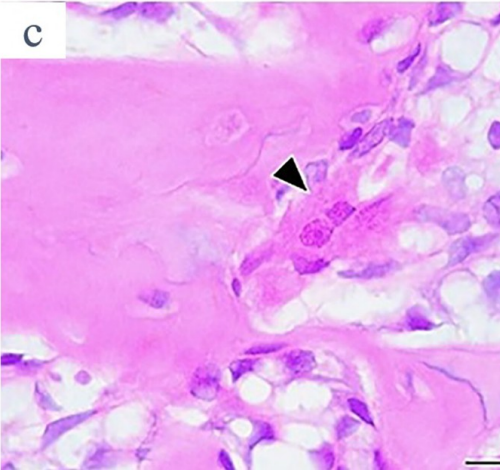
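The matrix fills much of the field as a broad, homogeneous, bright pink mass. Against its edge lies a cell with several purple nuclei grouped together and pink cytoplasm, larger than the cells around it. To the right and below, the space beside the matrix is filled with loose tissue made of many clear, empty-looking rounded spaces separated by thin pink walls, with small purple nuclei scattered among them.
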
